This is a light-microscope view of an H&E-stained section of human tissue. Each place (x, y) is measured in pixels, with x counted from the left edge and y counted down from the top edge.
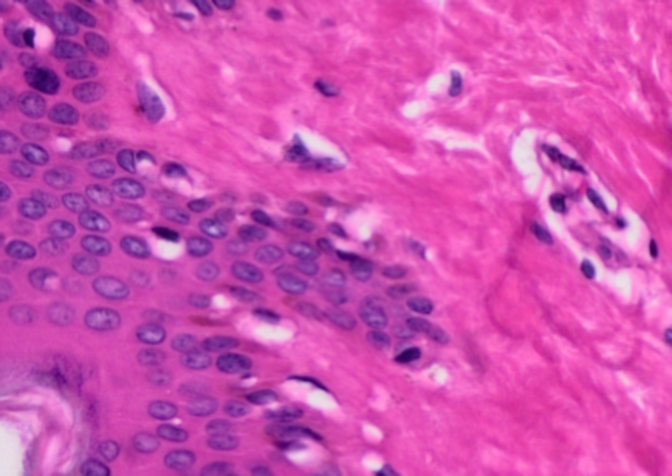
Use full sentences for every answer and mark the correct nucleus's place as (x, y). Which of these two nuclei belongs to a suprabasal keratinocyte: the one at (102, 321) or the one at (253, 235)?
The nucleus at (102, 321) is identified as belonging to a suprabasal keratinocyte.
